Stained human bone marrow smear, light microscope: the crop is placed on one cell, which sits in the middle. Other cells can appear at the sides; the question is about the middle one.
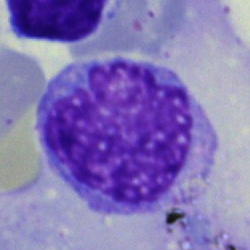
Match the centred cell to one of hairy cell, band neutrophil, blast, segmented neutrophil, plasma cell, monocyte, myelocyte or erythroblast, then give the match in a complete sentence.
At the center of the crop sits a monocyte.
